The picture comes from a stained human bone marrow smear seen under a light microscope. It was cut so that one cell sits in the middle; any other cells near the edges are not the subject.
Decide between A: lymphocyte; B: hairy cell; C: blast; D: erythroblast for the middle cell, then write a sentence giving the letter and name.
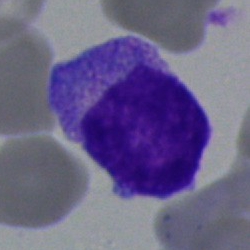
In this crop the central cell is a blast, which option C correctly states.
